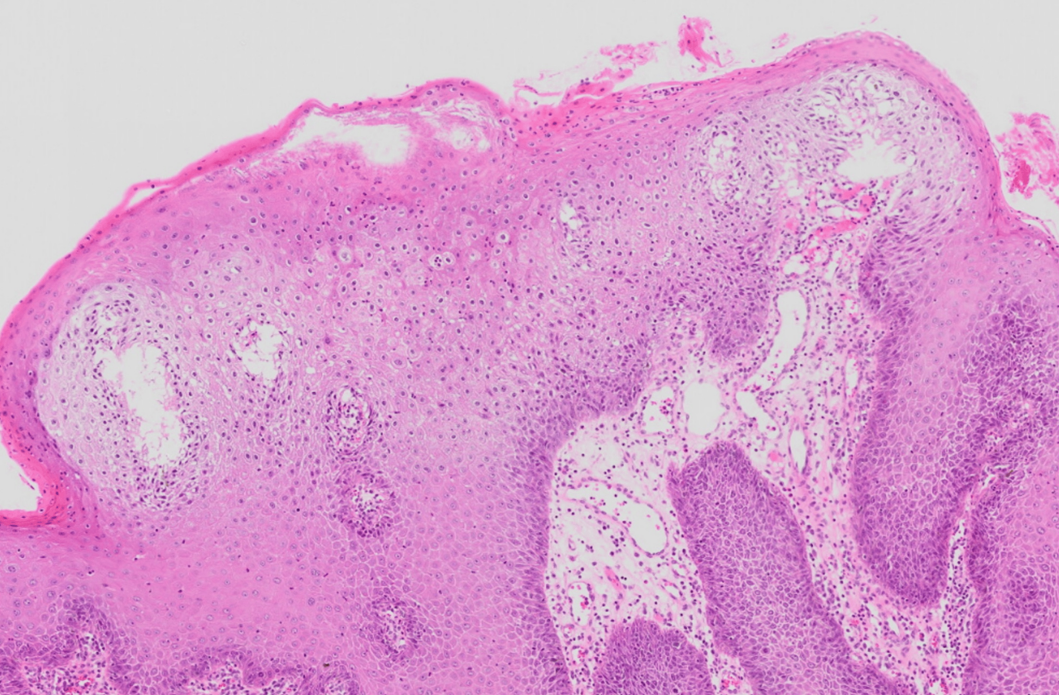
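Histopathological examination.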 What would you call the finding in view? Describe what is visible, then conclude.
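The squamous epithelium is markedly thickened. Broad, elongated rete ridges extend down into the dermis. The answer: acanthosis.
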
